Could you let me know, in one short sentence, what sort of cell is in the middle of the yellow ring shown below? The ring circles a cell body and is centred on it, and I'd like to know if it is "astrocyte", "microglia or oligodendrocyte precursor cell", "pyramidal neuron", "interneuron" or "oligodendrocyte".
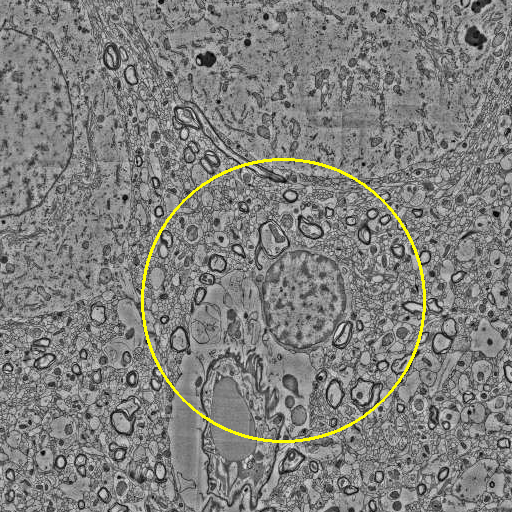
The ring circles the cell body of an oligodendrocyte.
